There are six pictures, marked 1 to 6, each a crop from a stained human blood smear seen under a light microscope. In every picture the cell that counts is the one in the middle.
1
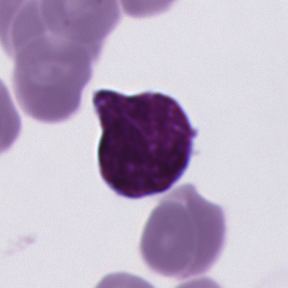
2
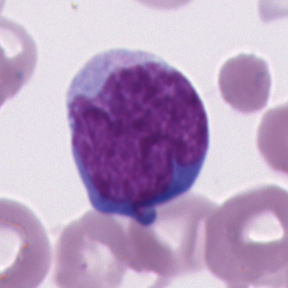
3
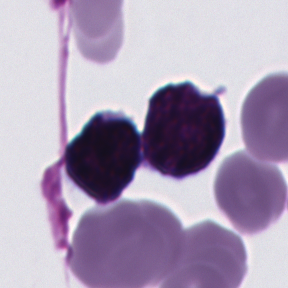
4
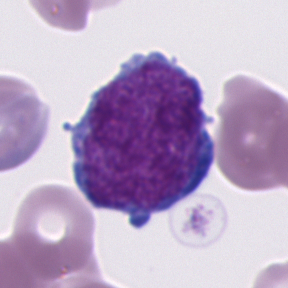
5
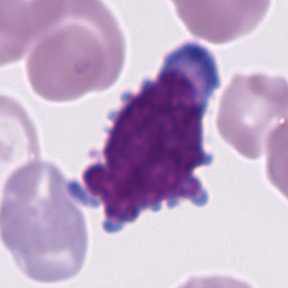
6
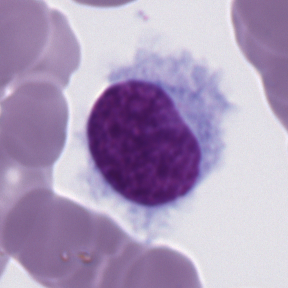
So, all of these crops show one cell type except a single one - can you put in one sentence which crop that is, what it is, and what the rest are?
Among these crops, myeloblasts occur in all but crop 6, which contains a hairy cell.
